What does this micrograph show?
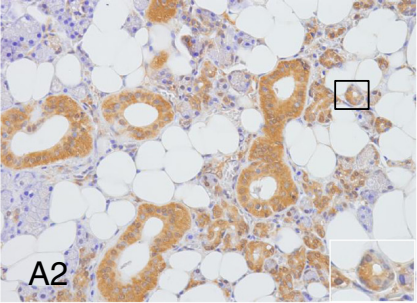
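This is non-cancerous glandular tissue in which ducts and small acini lie among large fat cells. The ducts are lined by cuboidal to columnar epithelial cells around open lumens, and their cytoplasm stains strongly brown. Smaller acinar clusters between the ducts also show brown cytoplasm with blue nuclei. The fat cells appear as large, empty, rounded white spaces with thin borders. Thin strands of connective tissue with a few scattered nuclei separate these elements.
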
